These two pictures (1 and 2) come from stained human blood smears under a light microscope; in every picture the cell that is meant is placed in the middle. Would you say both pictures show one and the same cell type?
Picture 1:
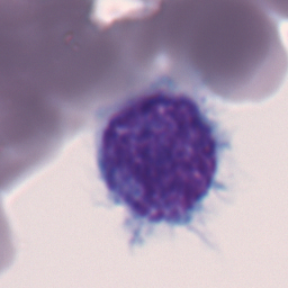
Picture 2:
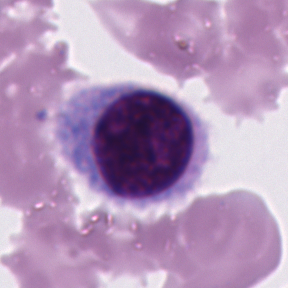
yes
